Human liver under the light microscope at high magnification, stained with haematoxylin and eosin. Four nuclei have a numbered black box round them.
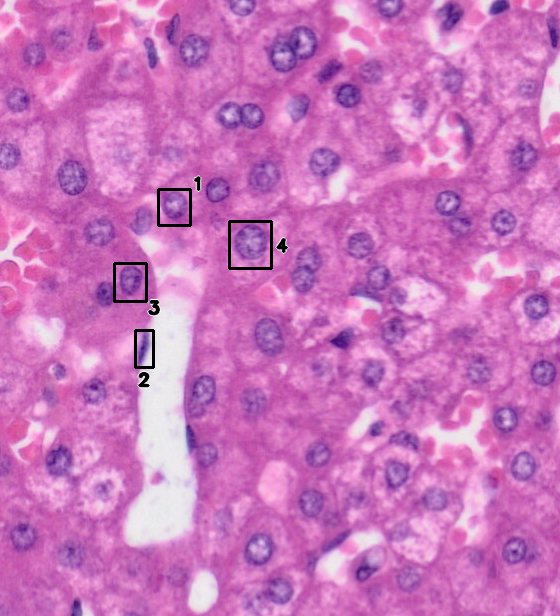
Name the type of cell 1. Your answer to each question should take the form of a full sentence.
In the tissue shown, cell 1 is a hepatocyte.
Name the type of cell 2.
The label 2 in this section denotes an endothelial cell.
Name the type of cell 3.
The marked cell with the number 3 is recognised as a hepatocyte.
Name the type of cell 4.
As for number 4, that cell is a hepatocyte.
